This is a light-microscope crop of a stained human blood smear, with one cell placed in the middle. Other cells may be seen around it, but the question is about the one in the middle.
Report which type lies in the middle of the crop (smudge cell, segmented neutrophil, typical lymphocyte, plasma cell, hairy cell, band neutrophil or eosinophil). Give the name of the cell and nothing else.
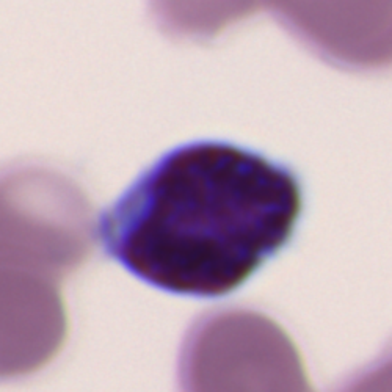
typical lymphocyte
